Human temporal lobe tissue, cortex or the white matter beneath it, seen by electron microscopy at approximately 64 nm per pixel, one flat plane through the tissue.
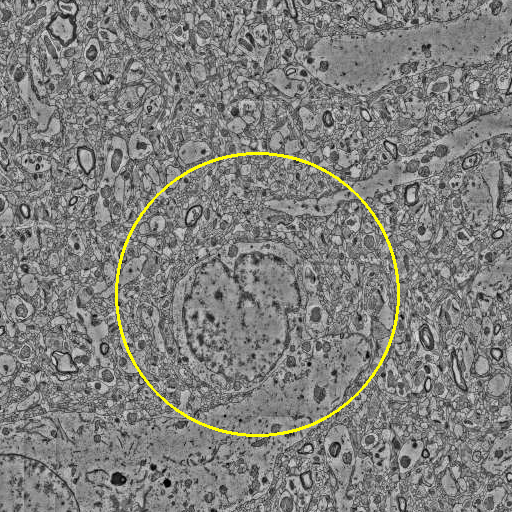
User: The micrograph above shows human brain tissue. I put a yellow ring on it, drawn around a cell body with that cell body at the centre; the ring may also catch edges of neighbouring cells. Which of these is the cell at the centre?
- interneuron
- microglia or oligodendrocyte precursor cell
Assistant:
interneuron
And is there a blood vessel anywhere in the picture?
No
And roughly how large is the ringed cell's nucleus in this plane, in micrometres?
The nucleus comes to roughly 8 micrometres across in this plane.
